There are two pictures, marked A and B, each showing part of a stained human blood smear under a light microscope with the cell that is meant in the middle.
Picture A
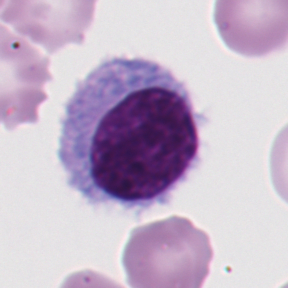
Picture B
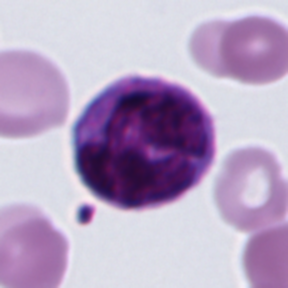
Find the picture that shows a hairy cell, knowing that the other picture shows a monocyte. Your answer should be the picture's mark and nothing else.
A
